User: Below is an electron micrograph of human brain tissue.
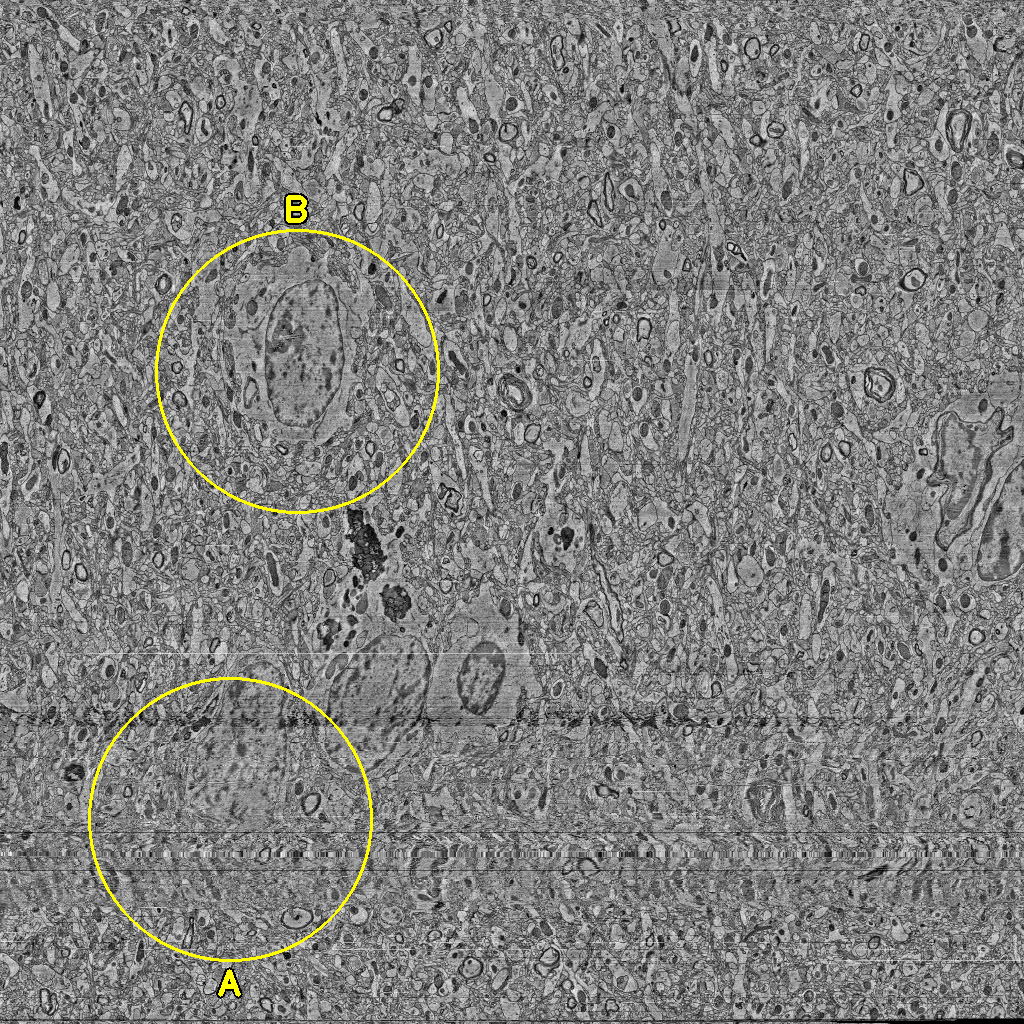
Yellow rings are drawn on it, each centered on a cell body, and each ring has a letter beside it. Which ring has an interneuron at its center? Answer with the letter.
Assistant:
A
